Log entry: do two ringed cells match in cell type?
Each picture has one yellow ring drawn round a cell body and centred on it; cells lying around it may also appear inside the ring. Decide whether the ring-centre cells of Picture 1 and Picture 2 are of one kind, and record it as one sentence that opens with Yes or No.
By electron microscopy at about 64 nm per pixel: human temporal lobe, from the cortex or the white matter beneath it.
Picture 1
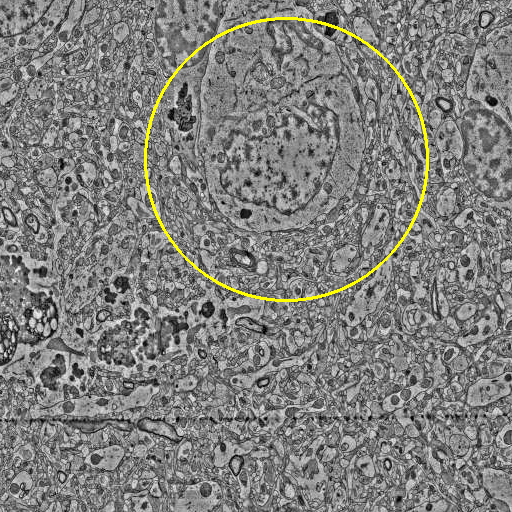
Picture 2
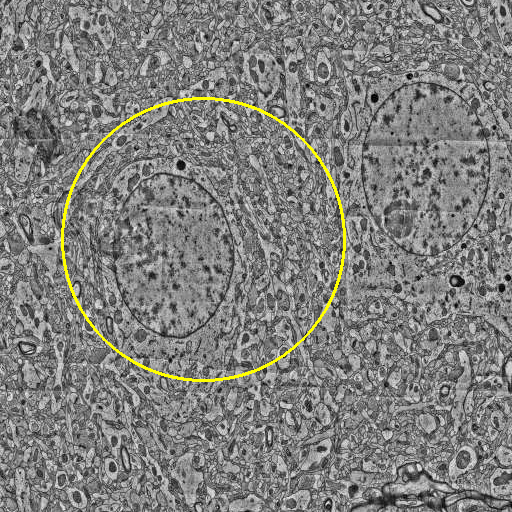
No, the cells at the ring centres of the two pictures belong to two kinds.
